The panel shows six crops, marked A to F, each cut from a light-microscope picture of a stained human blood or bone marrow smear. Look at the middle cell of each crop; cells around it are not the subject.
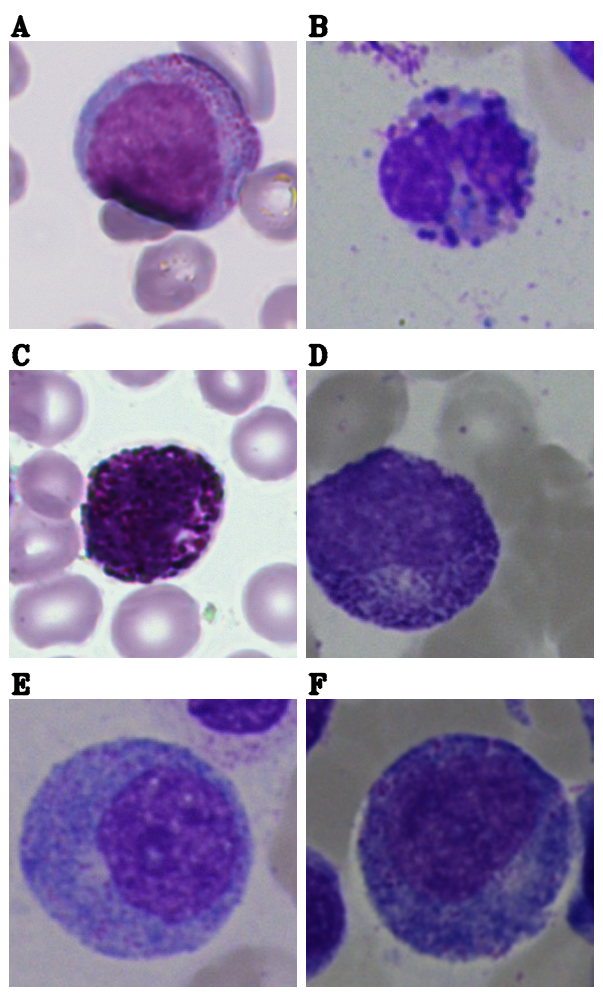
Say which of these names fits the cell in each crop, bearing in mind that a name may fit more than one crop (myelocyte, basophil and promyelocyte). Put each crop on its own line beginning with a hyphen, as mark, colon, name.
- A: promyelocyte
- B: basophil
- C: basophil
- D: myelocyte
- E: promyelocyte
- F: promyelocyte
